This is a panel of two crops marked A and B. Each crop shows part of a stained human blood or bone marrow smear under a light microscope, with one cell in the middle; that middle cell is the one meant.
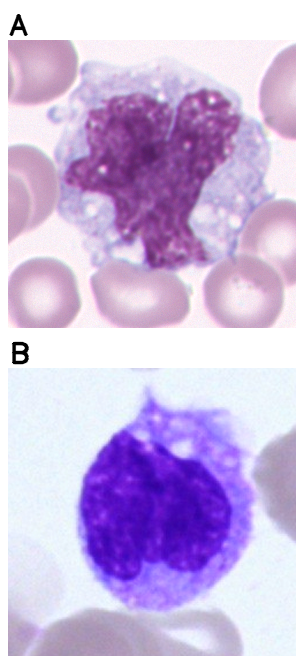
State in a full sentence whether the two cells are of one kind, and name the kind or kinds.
Yes, as shown in both crops, the central cells are monocytes.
